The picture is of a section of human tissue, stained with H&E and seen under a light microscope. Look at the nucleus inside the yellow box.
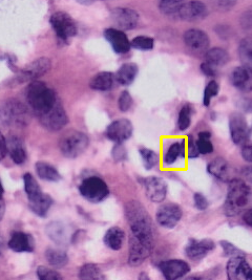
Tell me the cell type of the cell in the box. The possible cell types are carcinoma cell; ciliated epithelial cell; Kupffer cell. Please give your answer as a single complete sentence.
The category to which the cell in the box belongs is that of a carcinoma cell.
